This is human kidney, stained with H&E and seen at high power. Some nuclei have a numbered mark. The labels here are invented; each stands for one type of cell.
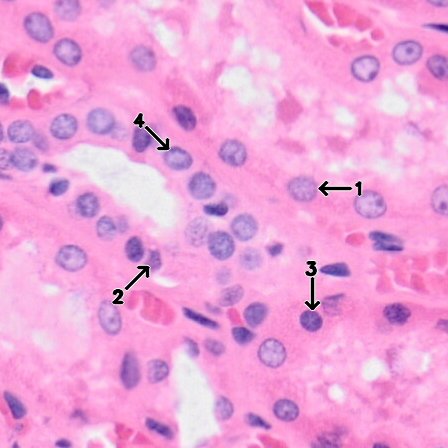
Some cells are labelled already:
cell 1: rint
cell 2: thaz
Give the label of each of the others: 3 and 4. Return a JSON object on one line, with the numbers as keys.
{"3": "rint", "4": "thaz"}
